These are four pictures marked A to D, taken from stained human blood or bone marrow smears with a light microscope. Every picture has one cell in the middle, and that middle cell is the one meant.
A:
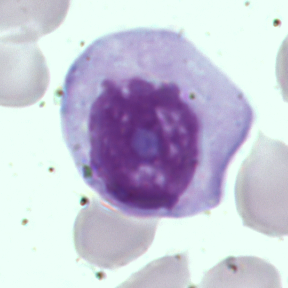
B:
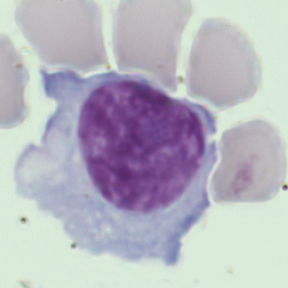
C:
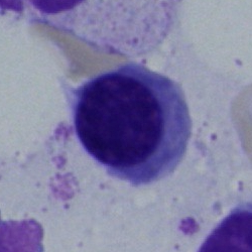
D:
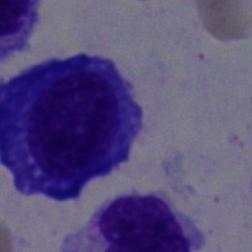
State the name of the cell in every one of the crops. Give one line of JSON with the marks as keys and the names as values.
{"A": "plasma cell", "B": "plasma cell", "C": "normoblast", "D": "plasma cell"}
